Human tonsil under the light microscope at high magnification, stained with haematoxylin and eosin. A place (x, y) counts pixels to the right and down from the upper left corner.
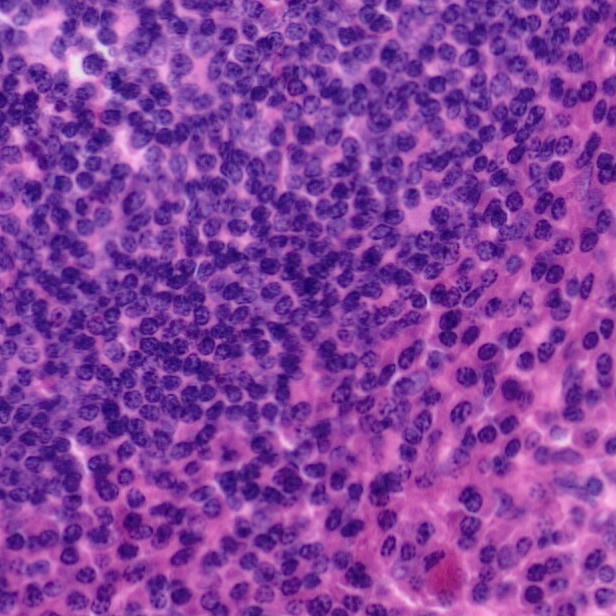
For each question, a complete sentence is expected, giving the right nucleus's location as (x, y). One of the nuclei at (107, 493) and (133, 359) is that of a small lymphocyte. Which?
It is the nucleus at (133, 359) that belongs to a small lymphocyte.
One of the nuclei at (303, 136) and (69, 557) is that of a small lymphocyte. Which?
The nucleus at (303, 136) is the member of the pair belonging to a small lymphocyte.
